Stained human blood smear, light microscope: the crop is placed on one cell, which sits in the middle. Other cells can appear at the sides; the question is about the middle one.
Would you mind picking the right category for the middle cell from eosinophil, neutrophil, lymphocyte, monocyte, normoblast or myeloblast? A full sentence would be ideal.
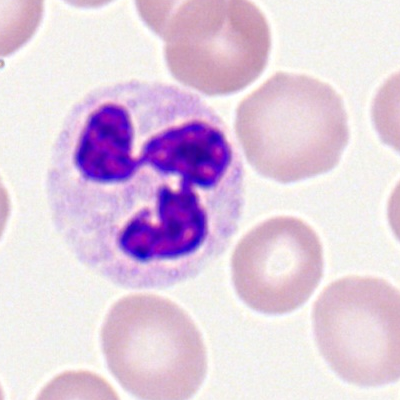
In the center of this field lies a neutrophil.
